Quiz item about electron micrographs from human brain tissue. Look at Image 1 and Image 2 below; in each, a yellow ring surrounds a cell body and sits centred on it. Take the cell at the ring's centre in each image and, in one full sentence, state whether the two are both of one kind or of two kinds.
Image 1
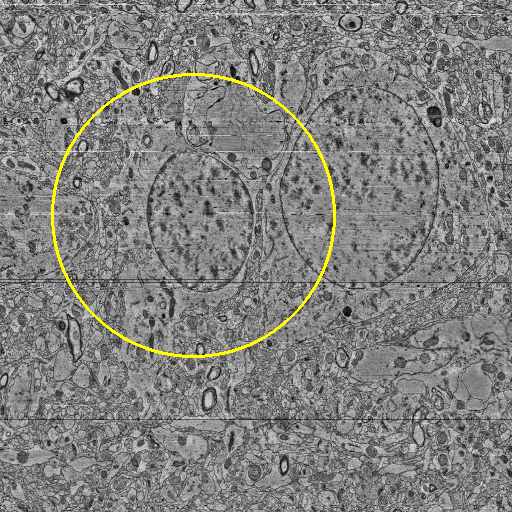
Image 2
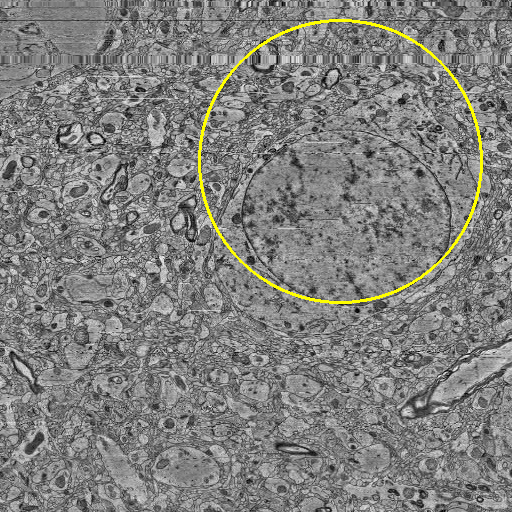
In Image 1 and Image 2, the cells at the ring centres are of two kinds.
